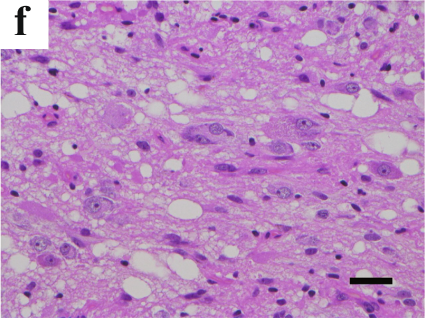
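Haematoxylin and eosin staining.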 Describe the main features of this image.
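At higher magnification, several large cells with abundant pink cytoplasm stand out in a fibrillary background with clear vacuoles. Their nuclei are round, with open chromatin and a conspicuous nucleolus, giving a ganglion-like look. Near the centre, one large cell holds two nuclei lying side by side, a binucleated form that is not seen in normal neurons. Smaller, darker nuclei of other cells lie scattered between them, and small pink rounded bodies may be present in the background.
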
